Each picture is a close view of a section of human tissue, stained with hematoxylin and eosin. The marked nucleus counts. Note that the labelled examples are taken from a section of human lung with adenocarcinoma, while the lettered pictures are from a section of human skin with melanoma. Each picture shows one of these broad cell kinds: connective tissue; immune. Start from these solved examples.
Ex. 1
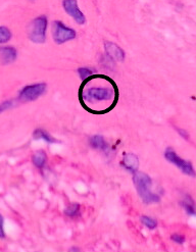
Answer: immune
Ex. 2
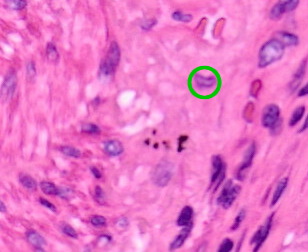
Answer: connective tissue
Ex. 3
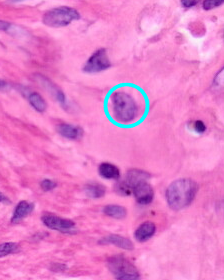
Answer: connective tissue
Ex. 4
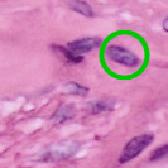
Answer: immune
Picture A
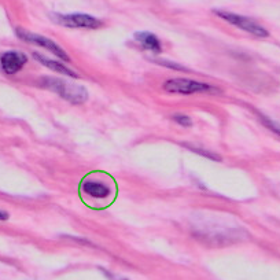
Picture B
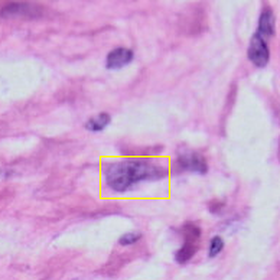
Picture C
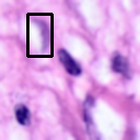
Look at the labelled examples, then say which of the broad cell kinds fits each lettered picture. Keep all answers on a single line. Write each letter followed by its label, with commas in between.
A immune, B connective tissue, C connective tissue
